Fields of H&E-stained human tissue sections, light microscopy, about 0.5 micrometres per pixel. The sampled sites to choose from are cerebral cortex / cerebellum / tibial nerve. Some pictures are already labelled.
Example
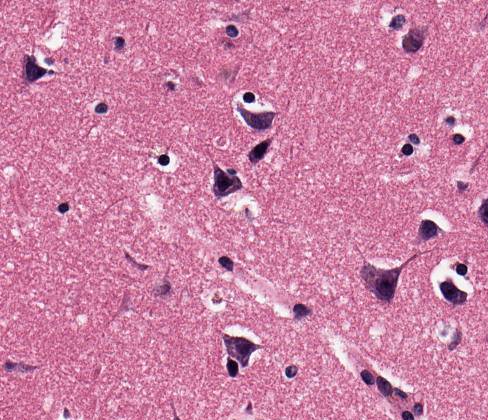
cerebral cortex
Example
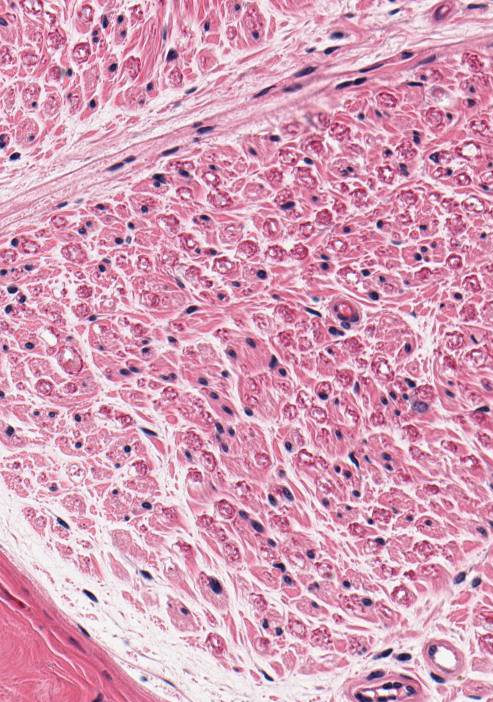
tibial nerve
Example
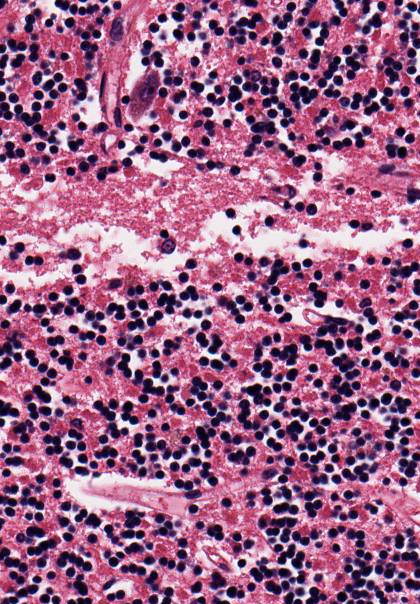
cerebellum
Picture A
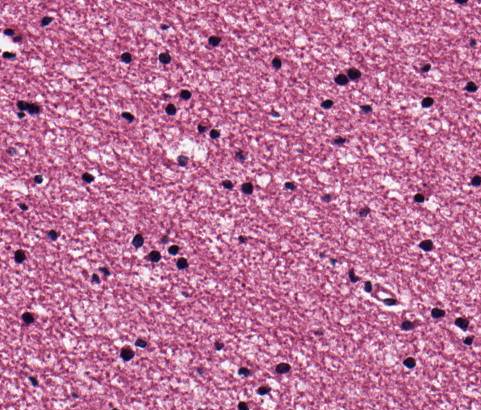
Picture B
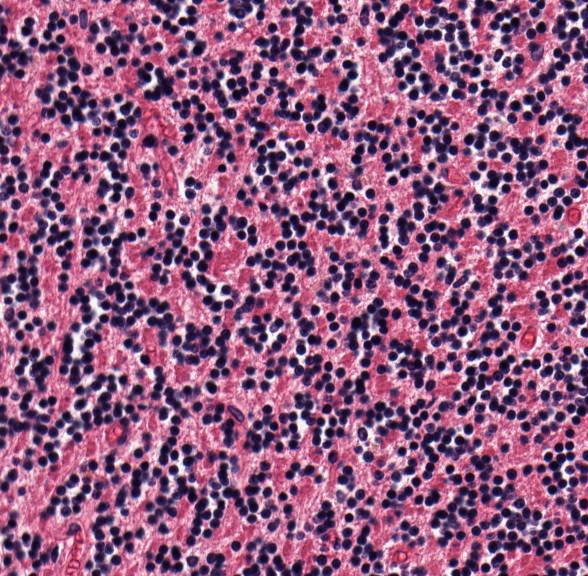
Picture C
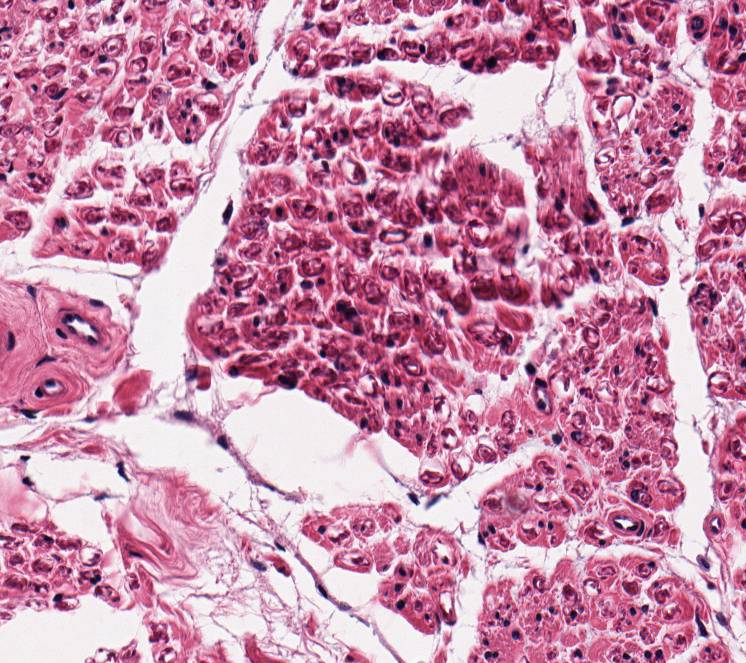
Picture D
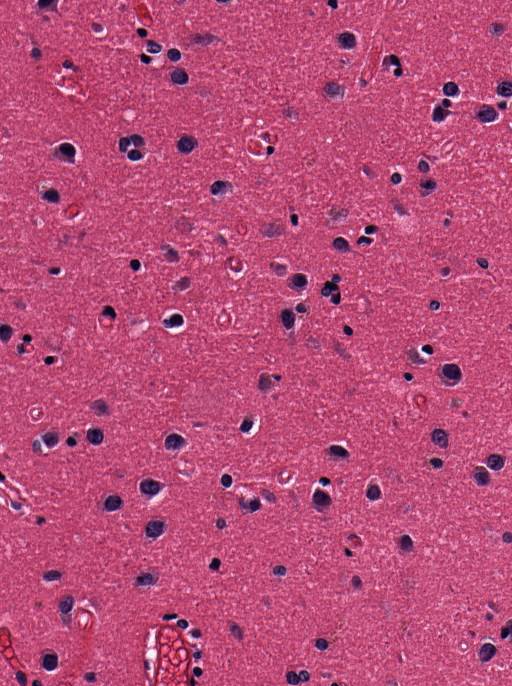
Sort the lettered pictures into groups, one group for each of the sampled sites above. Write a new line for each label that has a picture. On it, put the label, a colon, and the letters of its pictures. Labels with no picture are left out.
cerebral cortex: A, D
cerebellum: B
tibial nerve: C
